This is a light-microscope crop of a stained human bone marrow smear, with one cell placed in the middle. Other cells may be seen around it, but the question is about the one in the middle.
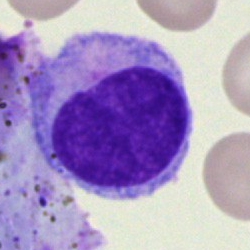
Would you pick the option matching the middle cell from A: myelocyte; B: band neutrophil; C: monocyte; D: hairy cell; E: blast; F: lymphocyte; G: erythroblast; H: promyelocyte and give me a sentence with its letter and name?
The cell centred in the crop is a hairy cell, and the correct option is thus D.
